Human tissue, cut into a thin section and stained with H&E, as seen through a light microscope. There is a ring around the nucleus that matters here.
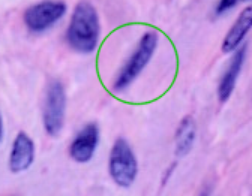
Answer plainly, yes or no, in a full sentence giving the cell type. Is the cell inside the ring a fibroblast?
Yes, it is the case that the cell inside the ring is a fibroblast.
